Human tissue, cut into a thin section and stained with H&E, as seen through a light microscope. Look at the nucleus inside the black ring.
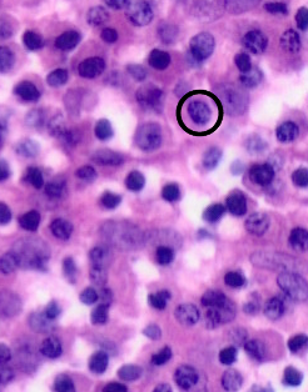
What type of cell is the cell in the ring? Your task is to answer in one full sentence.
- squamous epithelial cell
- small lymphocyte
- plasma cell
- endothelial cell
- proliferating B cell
The identity of the cell in the ring: it is a plasma cell.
